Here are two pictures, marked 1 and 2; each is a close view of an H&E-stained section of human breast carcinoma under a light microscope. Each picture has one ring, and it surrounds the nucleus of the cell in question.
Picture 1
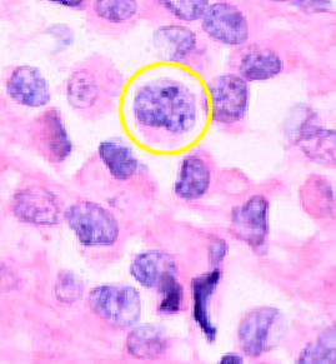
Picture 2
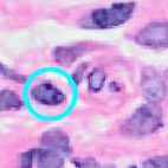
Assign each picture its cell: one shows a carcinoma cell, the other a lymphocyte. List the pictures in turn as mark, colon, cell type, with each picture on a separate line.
1: carcinoma cell
2: lymphocyte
